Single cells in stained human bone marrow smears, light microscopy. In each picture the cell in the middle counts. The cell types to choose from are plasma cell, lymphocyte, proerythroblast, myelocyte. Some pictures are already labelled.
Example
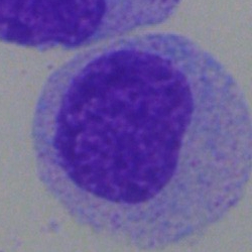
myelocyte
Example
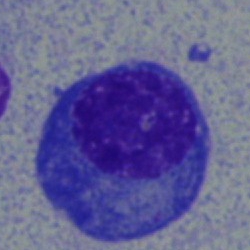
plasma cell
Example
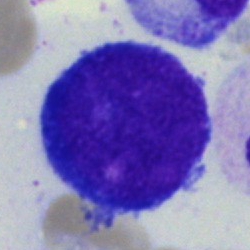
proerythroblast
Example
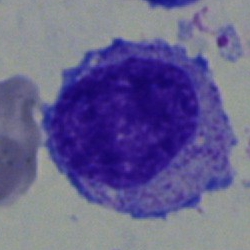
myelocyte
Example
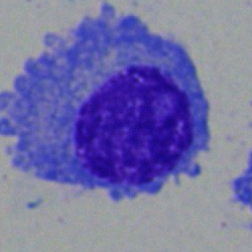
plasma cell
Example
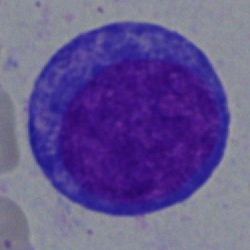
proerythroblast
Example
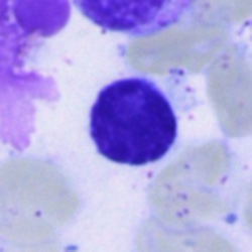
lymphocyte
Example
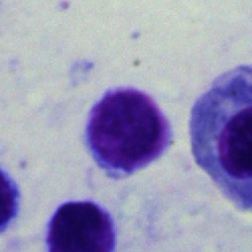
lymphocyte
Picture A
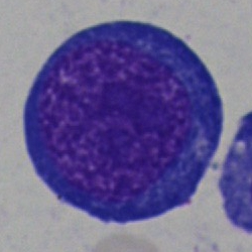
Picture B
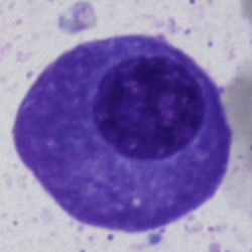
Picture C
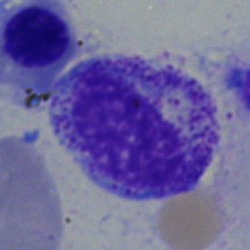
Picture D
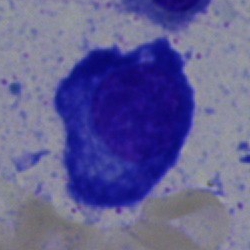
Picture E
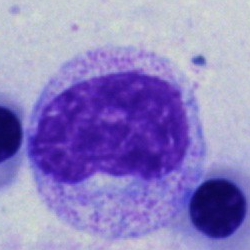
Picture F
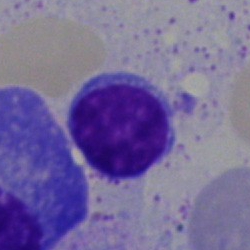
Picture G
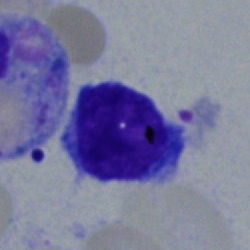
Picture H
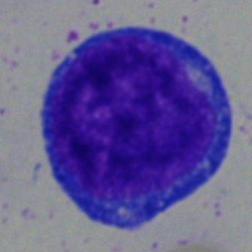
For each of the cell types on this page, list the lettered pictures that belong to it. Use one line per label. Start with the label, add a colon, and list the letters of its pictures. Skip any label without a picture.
plasma cell: B, D
lymphocyte: F, G
proerythroblast: A, H
myelocyte: C, E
